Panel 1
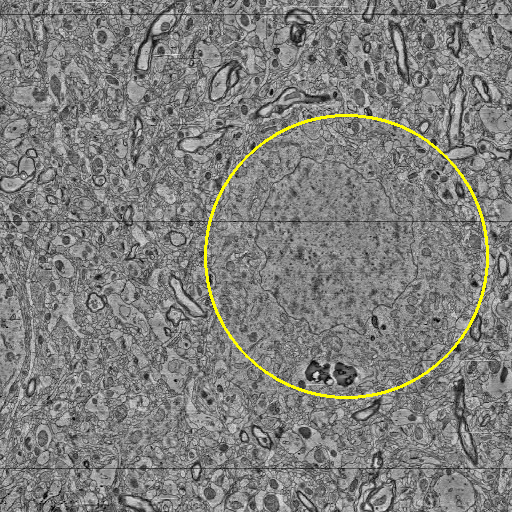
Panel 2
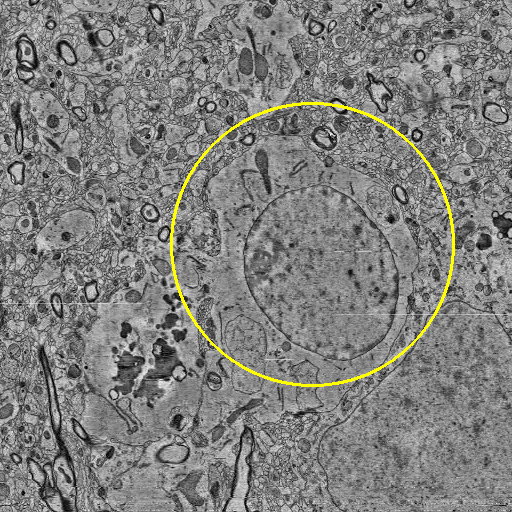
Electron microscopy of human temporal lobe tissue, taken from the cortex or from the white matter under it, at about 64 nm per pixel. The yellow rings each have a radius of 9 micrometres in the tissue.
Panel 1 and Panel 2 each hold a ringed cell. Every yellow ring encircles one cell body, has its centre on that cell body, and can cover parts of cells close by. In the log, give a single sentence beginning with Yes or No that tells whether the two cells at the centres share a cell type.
No, in Panel 1 and Panel 2 the centred cells are of two cell types.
